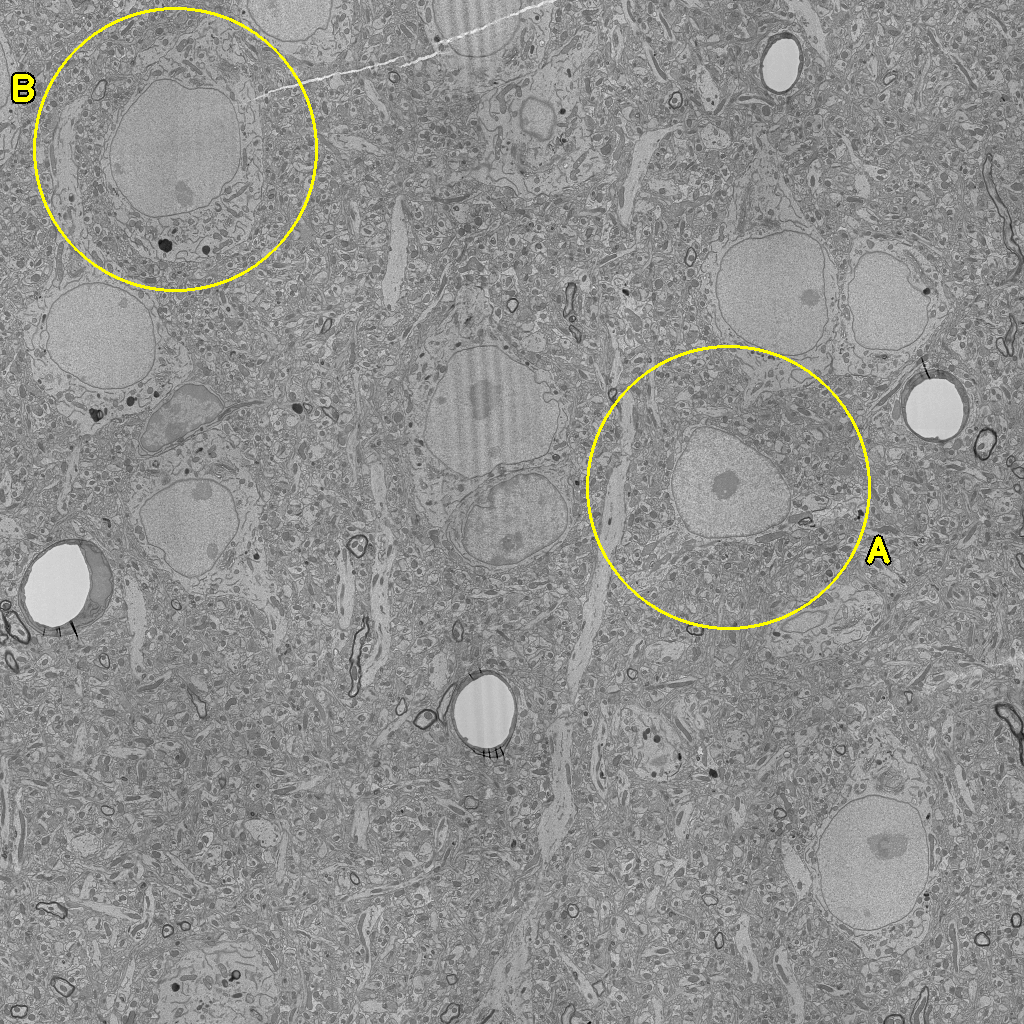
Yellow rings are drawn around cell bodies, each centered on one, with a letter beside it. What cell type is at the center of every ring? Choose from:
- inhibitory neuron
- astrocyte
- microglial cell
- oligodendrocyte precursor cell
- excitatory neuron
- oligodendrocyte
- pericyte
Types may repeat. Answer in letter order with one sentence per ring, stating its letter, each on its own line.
The cell at the center of ring A is an astrocyte.
The cell at the center of ring B is an excitatory neuron.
